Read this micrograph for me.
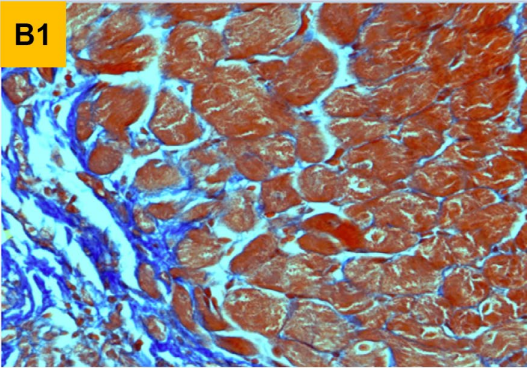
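Heart muscle cut mostly in cross-section, with rounded red-stained myocardial fibers separated by pale interstitial spaces. Along one side runs a broad band of blue-stained fibrous connective tissue, and blue strands extend from it into the interstitial tissue between neighbouring myofibers.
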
